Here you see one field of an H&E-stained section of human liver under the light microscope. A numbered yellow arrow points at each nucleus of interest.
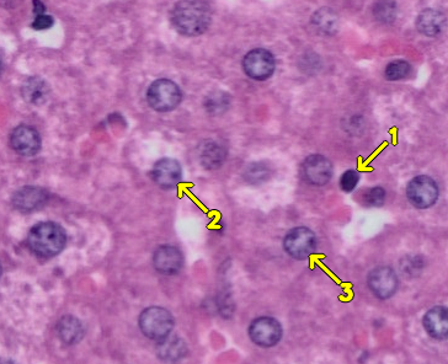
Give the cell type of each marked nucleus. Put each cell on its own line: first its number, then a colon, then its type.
1: lymphocyte
2: hepatocyte
3: hepatocyte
